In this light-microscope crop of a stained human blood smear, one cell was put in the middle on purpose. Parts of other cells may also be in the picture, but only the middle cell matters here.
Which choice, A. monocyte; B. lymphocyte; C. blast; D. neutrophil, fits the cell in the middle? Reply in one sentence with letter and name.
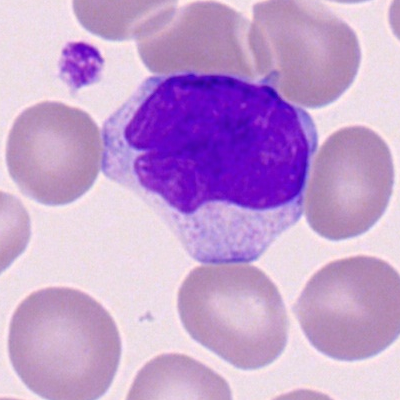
Answer key: option B, the middle cell being a lymphocyte.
